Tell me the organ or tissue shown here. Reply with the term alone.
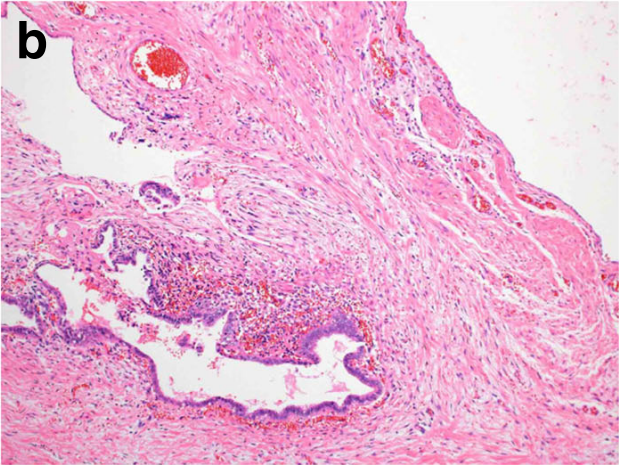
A: Endometrium-like tissue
